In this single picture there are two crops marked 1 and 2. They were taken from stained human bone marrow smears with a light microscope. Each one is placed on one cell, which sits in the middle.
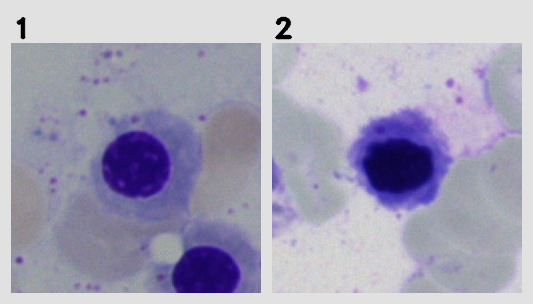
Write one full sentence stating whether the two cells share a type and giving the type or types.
Yes, in short, both crops show erythroblasts.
